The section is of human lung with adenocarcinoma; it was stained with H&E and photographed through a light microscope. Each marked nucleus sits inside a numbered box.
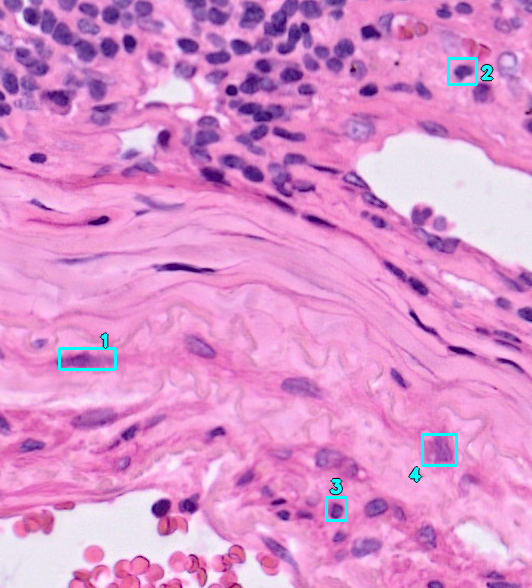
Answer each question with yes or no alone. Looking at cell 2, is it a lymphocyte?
yes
